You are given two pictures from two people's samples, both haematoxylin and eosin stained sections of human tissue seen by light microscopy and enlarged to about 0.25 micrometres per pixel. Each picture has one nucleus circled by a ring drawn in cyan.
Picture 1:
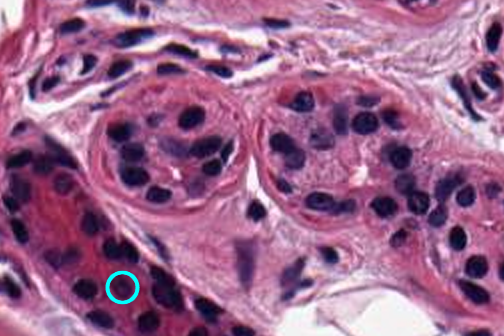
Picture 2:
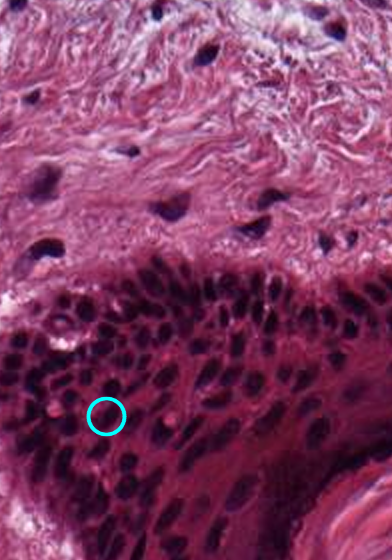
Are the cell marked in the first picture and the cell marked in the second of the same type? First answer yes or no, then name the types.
No, the first is a sweat gland cell and the second a keratinocyte.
